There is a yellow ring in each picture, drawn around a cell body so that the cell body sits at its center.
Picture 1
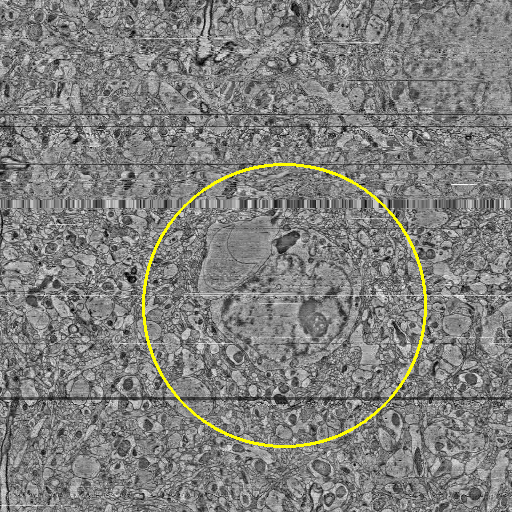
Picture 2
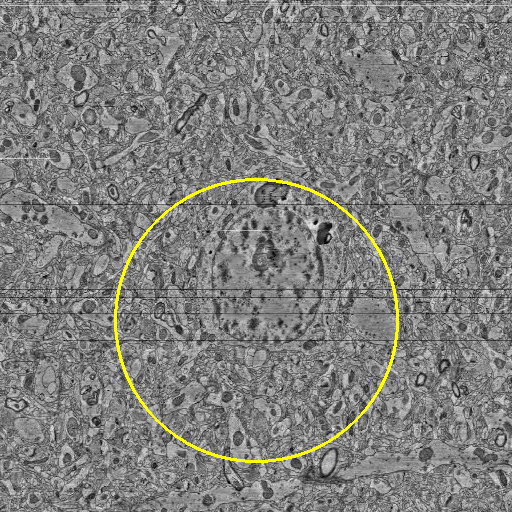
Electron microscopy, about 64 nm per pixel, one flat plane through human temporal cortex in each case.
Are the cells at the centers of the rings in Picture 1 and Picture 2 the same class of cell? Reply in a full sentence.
Yes, the two cells are the same class of cell.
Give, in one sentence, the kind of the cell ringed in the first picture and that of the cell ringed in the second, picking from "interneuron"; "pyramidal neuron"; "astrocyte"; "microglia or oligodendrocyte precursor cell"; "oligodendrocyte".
The second cell is an interneuron, just as the first is.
